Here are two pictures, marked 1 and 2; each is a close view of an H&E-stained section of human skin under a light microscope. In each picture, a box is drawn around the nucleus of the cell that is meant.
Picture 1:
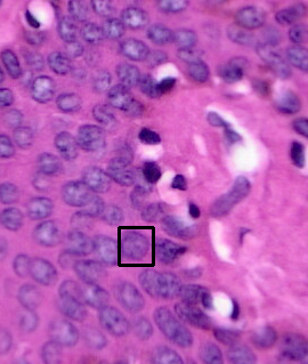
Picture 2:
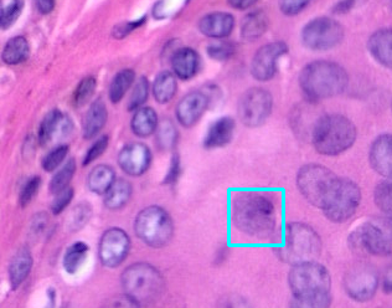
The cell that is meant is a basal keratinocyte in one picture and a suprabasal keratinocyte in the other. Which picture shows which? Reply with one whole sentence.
It is picture 1 that shows a basal keratinocyte, and picture 2 that shows a suprabasal keratinocyte.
